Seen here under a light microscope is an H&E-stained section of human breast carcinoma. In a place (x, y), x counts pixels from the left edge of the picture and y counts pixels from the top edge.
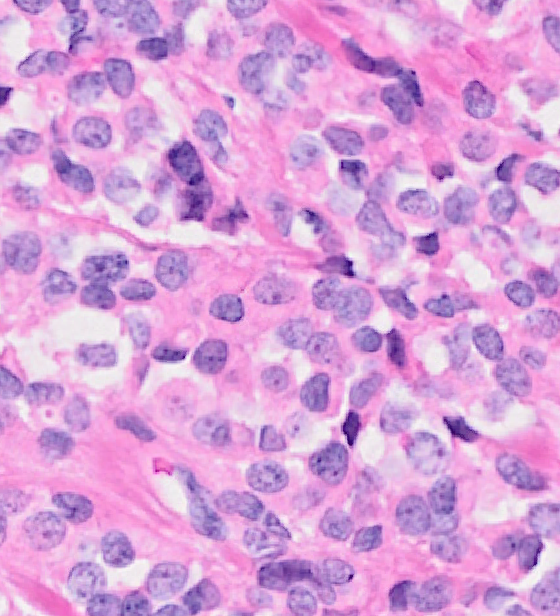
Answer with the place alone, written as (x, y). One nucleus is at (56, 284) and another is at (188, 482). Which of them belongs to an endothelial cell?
(188, 482)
